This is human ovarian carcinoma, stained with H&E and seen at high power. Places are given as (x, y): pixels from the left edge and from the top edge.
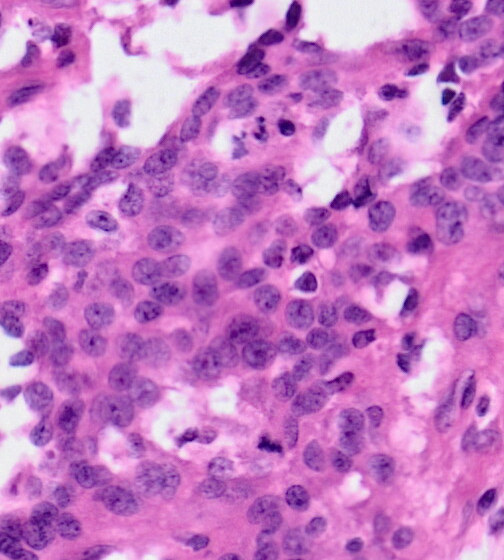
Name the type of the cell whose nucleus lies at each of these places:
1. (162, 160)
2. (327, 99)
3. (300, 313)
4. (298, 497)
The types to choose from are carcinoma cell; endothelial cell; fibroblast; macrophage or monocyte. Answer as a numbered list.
1. carcinoma cell
2. carcinoma cell
3. carcinoma cell
4. macrophage or monocyte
